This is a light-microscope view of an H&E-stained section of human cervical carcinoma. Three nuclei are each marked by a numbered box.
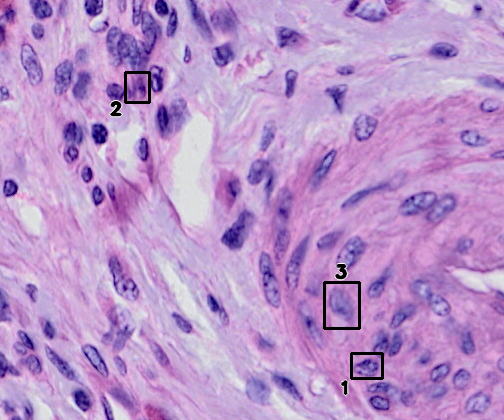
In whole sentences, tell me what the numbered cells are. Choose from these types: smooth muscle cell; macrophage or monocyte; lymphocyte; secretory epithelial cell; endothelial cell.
Cell 1 is a smooth muscle cell, cell 2 is an endothelial cell and cell 3 is a smooth muscle cell.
